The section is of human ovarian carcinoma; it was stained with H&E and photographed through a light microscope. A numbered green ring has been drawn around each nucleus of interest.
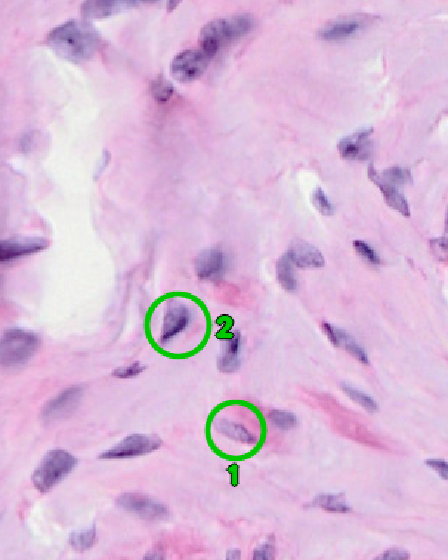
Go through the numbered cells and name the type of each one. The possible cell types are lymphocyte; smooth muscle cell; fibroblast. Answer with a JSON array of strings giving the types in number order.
["smooth muscle cell", "fibroblast"]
